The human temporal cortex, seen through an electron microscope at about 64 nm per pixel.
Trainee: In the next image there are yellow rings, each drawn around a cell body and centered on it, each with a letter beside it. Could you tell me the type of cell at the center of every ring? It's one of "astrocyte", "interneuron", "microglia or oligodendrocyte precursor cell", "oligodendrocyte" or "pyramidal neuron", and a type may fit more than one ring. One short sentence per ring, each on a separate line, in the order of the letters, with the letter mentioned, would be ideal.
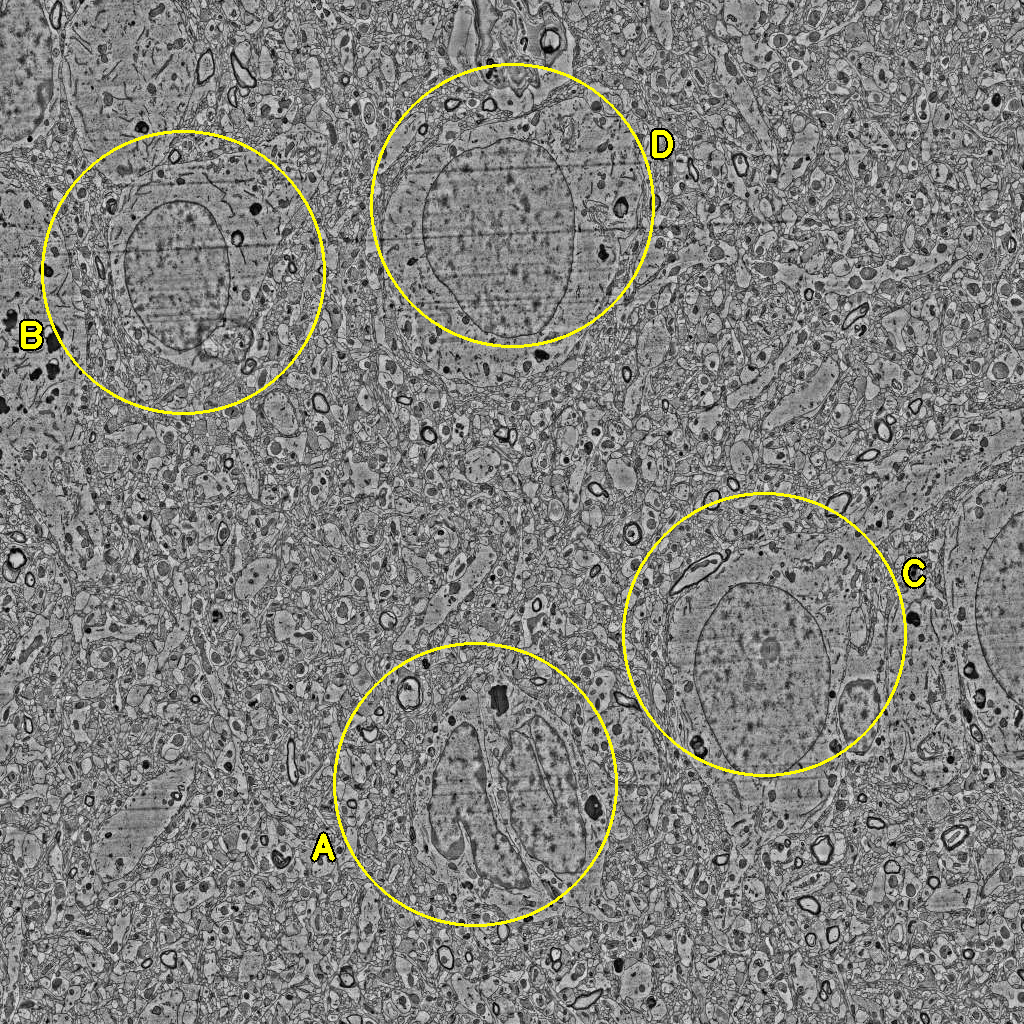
What ring A is centered on is a microglial cell or oligodendrocyte precursor cell.
What ring B is centered on is a pyramidal neuron.
What ring C is centered on is a pyramidal neuron.
What ring D is centered on is a pyramidal neuron.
